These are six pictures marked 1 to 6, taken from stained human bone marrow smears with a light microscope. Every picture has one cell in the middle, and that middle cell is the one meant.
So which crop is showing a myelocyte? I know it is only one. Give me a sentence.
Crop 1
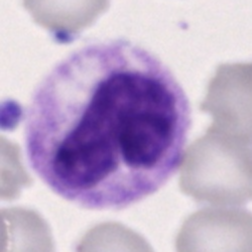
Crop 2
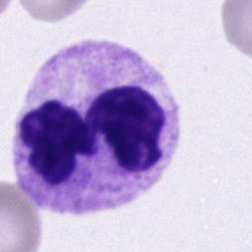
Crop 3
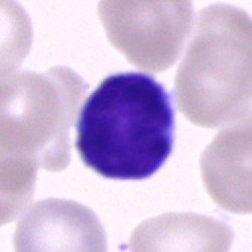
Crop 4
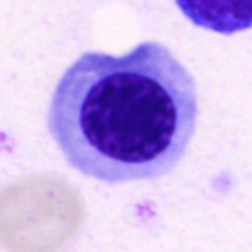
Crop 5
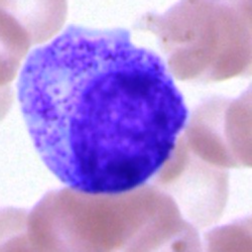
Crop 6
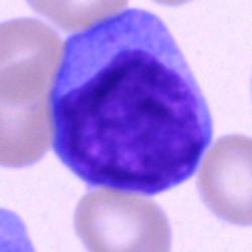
Crop 5 is the crop containing a myelocyte.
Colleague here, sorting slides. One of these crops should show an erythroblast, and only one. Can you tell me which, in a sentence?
Crop 4 is the correct crop, and it shows an erythroblast.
